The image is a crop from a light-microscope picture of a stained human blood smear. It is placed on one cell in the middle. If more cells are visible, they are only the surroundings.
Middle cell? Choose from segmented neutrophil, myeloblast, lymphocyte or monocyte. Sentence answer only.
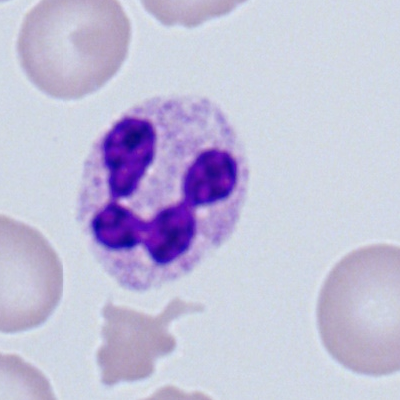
For this crop, the central cell is a segmented neutrophil.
